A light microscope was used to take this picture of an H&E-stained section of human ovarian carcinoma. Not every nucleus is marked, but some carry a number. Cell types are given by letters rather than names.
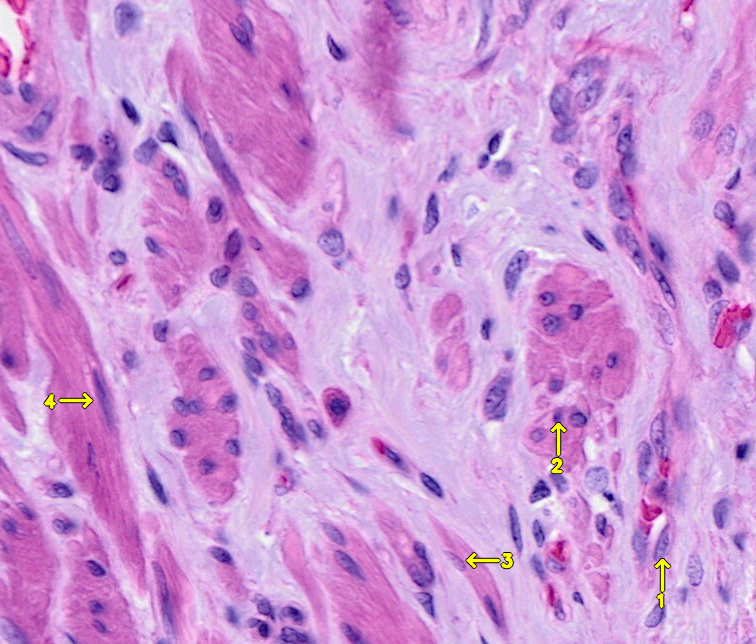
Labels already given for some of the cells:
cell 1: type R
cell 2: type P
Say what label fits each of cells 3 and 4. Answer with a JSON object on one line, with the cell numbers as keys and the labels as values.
{"3": "type P", "4": "type P"}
